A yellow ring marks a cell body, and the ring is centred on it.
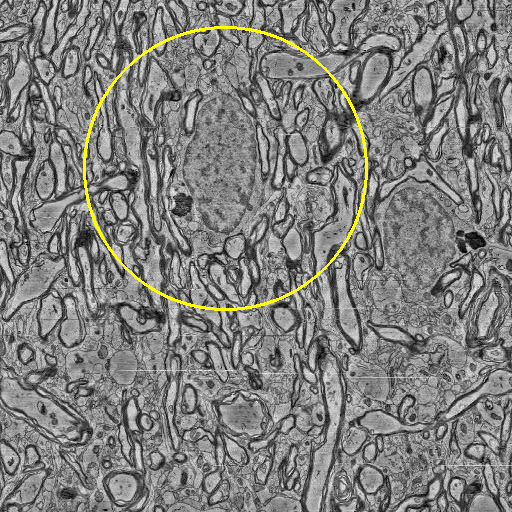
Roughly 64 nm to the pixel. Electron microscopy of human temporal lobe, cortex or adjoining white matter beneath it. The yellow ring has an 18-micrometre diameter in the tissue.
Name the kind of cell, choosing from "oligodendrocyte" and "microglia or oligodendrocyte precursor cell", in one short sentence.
The marked cell body belongs to an oligodendrocyte.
